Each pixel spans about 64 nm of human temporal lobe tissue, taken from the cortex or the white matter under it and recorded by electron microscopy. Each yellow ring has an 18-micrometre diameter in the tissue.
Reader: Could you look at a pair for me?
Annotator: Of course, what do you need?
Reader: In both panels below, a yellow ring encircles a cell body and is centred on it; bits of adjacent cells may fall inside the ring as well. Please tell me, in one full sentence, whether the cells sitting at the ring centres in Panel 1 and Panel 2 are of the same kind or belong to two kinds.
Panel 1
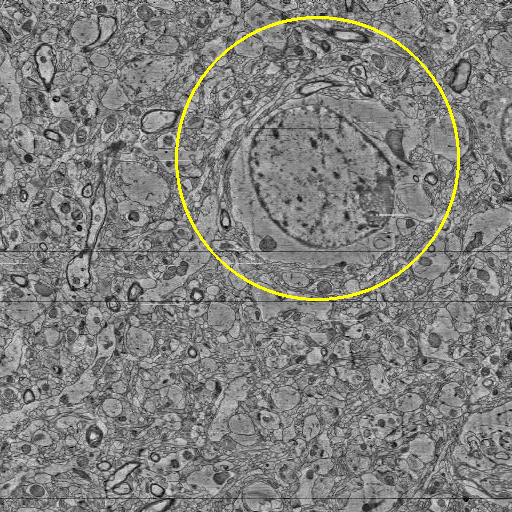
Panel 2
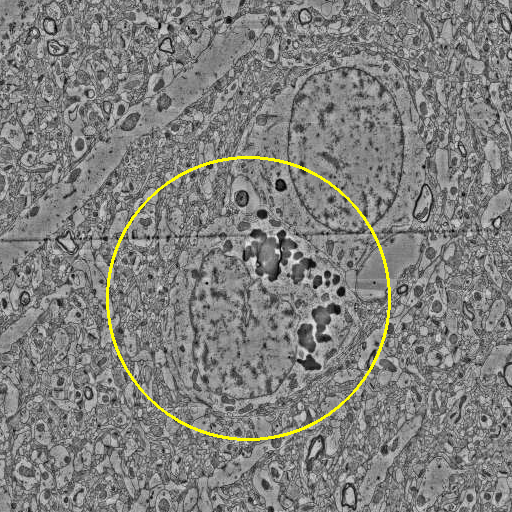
The cell at the ring's centre in Panel 1 and the one in Panel 2 belong to two kinds.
